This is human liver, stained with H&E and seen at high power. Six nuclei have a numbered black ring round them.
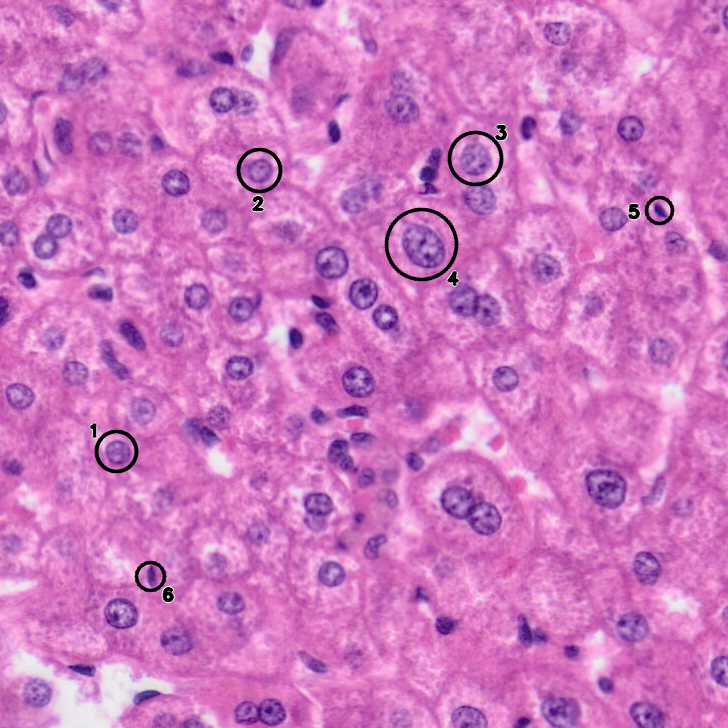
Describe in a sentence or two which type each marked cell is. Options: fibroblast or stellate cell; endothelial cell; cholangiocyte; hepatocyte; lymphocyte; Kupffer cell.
Cells 1, 2, 3 and 4 are hepatocytes. Cell 5 is a fibroblast or stellate cell. Cell 6 is an endothelial cell.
